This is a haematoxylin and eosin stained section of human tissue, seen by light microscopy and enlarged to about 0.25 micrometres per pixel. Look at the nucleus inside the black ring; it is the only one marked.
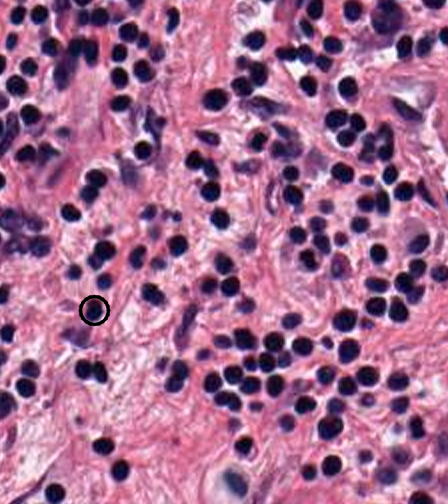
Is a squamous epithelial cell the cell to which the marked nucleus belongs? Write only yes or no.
no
